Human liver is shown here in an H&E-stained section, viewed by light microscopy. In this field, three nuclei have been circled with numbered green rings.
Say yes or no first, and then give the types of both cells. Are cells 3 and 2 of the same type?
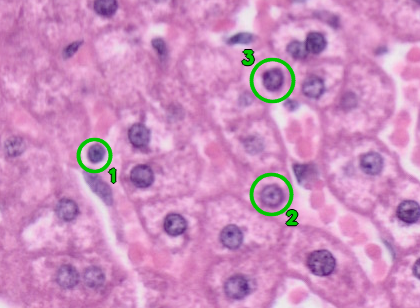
Yes, both cells 3 and 2 are hepatocytes.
